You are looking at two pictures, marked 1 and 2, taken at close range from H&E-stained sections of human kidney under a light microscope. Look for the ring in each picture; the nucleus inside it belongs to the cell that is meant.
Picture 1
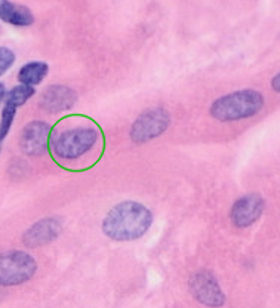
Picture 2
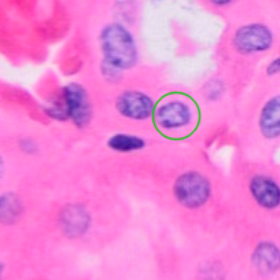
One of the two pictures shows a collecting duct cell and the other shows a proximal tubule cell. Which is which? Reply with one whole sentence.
It is picture 1 that shows a proximal tubule cell, and picture 2 that shows a collecting duct cell.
